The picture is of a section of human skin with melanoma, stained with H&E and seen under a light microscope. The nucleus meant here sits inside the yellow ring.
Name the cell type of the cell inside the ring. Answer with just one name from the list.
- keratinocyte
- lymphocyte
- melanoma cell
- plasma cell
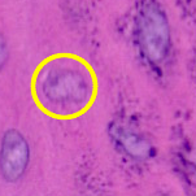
keratinocyte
